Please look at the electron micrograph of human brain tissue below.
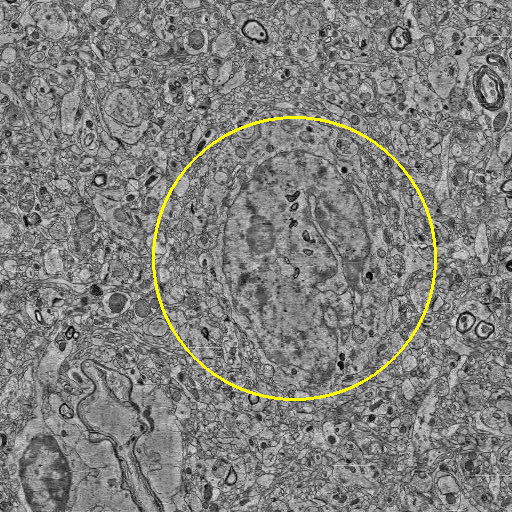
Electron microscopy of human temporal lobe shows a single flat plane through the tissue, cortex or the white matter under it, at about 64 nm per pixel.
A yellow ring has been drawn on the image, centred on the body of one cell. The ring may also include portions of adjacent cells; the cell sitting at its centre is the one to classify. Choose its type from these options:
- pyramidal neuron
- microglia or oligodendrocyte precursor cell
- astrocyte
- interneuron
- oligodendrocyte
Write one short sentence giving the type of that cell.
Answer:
The cell in the middle of the ring is an interneuron.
